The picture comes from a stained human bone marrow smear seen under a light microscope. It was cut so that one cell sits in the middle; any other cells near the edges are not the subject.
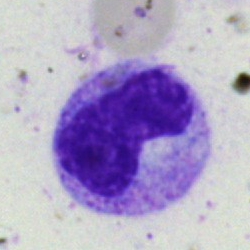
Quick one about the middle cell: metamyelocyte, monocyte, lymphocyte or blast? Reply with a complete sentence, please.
Occupying the centre of the crop is a metamyelocyte.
